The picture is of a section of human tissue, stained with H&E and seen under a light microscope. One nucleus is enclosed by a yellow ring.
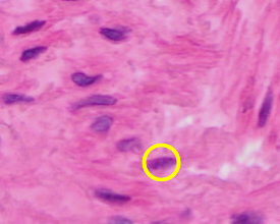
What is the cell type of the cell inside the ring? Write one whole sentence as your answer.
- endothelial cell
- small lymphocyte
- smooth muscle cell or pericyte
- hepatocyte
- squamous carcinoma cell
Histopathologically, the cell inside the ring is a smooth muscle cell or pericyte.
